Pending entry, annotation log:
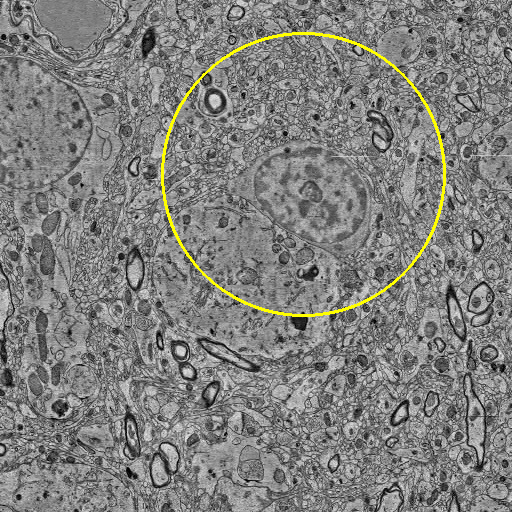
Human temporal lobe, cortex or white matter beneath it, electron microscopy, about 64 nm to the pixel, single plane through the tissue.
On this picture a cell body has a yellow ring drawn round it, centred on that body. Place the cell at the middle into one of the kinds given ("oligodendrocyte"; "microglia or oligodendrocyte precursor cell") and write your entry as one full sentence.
The cell body at the middle of the yellow ring belongs to an oligodendrocyte.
